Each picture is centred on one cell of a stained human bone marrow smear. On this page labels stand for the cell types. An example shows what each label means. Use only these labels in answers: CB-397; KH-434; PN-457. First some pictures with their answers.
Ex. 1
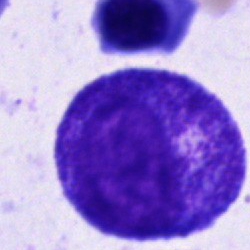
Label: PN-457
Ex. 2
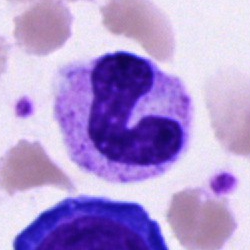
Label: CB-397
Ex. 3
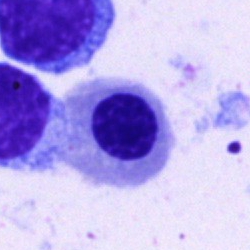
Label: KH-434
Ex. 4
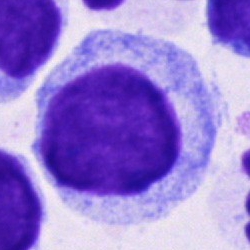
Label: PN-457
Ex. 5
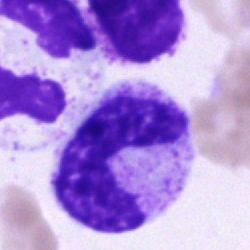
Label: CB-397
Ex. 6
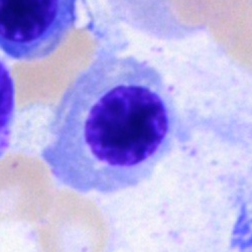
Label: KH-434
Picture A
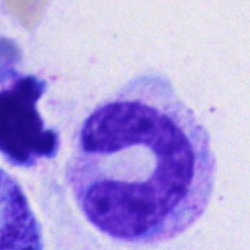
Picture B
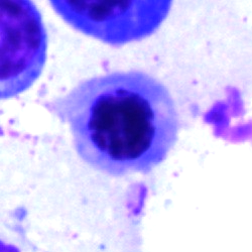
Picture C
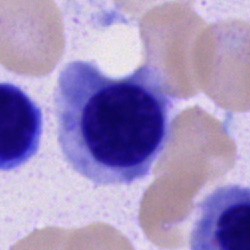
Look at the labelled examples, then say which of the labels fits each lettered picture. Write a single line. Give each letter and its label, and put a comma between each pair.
A CB-397, B KH-434, C KH-434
